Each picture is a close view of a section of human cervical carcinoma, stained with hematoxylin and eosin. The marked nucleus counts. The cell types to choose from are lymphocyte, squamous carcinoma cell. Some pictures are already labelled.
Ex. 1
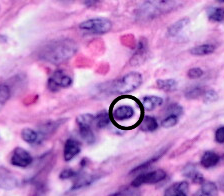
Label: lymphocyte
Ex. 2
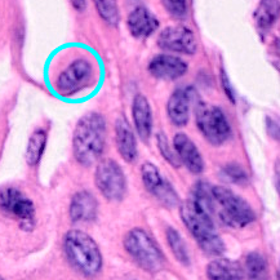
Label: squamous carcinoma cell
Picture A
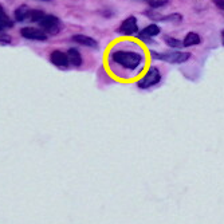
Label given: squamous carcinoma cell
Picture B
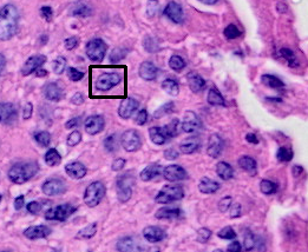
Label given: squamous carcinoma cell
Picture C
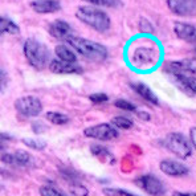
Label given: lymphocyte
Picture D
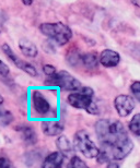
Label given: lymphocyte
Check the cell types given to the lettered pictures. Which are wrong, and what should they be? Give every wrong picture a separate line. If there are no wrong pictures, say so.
A: not squamous carcinoma cell but lymphocyte
C: not lymphocyte but squamous carcinoma cell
